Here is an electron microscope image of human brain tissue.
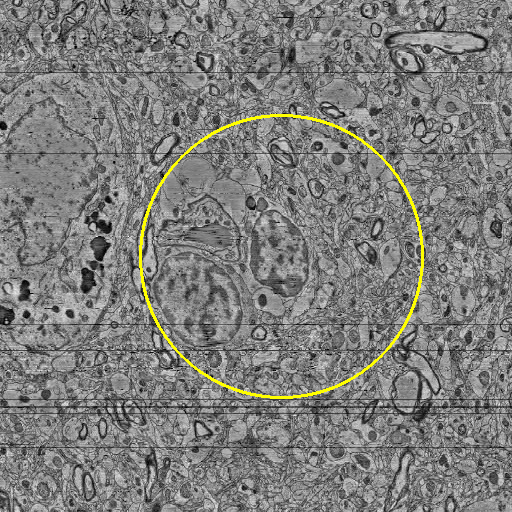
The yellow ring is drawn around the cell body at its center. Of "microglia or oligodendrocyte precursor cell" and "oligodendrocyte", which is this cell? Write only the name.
microglia or oligodendrocyte precursor cell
